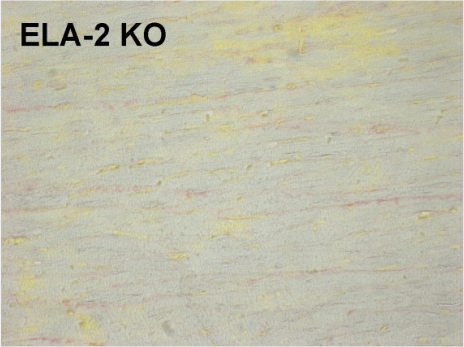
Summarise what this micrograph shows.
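The fibres run in parallel, and their outlines are faintly visible as fine lines. The red material is sparse and scattered, and there are no broad red bands or patches of scar.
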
